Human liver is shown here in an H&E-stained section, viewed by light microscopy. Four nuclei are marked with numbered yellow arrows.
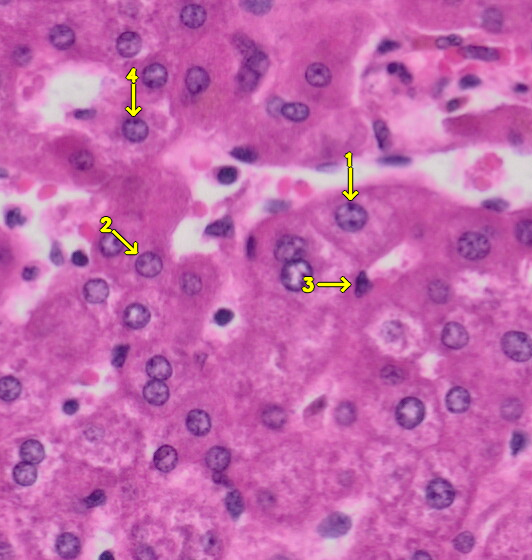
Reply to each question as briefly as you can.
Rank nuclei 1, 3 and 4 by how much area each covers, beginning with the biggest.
1, 4, 3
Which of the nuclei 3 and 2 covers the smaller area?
3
